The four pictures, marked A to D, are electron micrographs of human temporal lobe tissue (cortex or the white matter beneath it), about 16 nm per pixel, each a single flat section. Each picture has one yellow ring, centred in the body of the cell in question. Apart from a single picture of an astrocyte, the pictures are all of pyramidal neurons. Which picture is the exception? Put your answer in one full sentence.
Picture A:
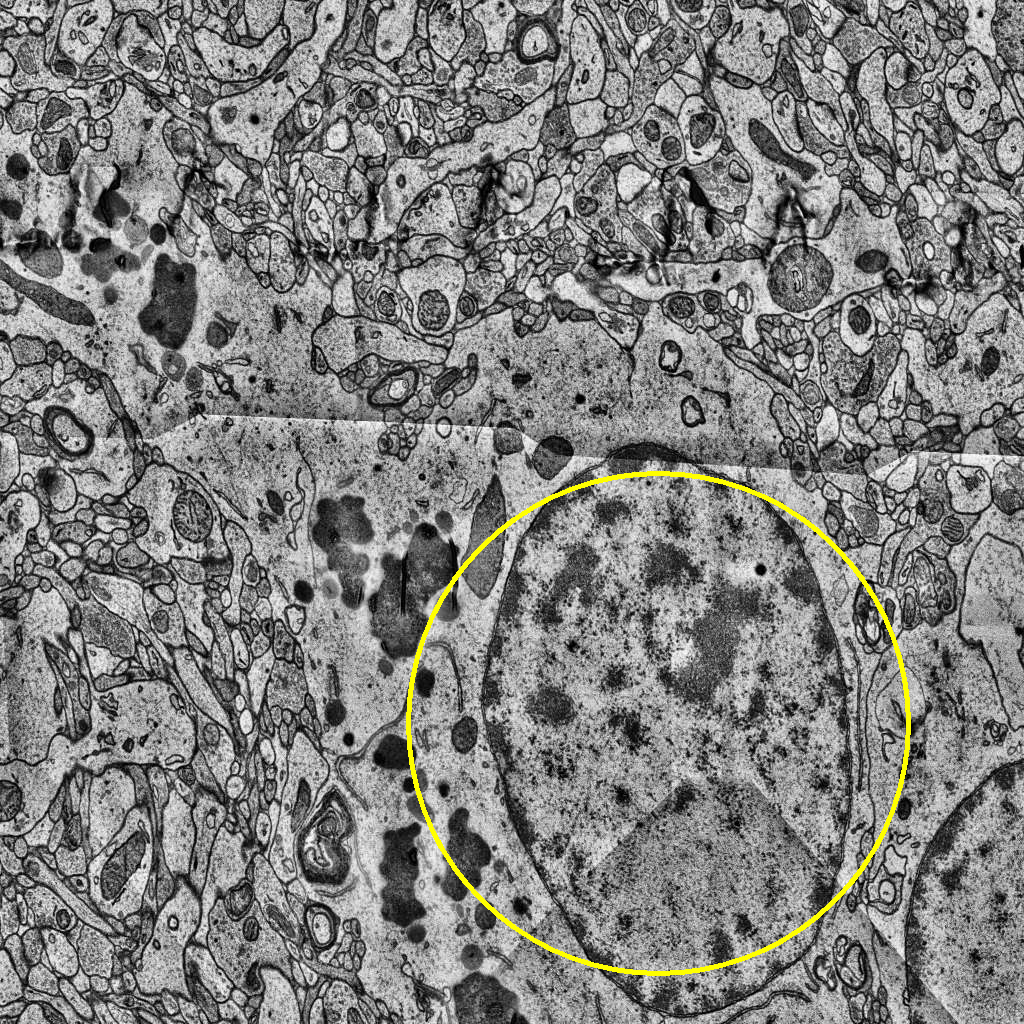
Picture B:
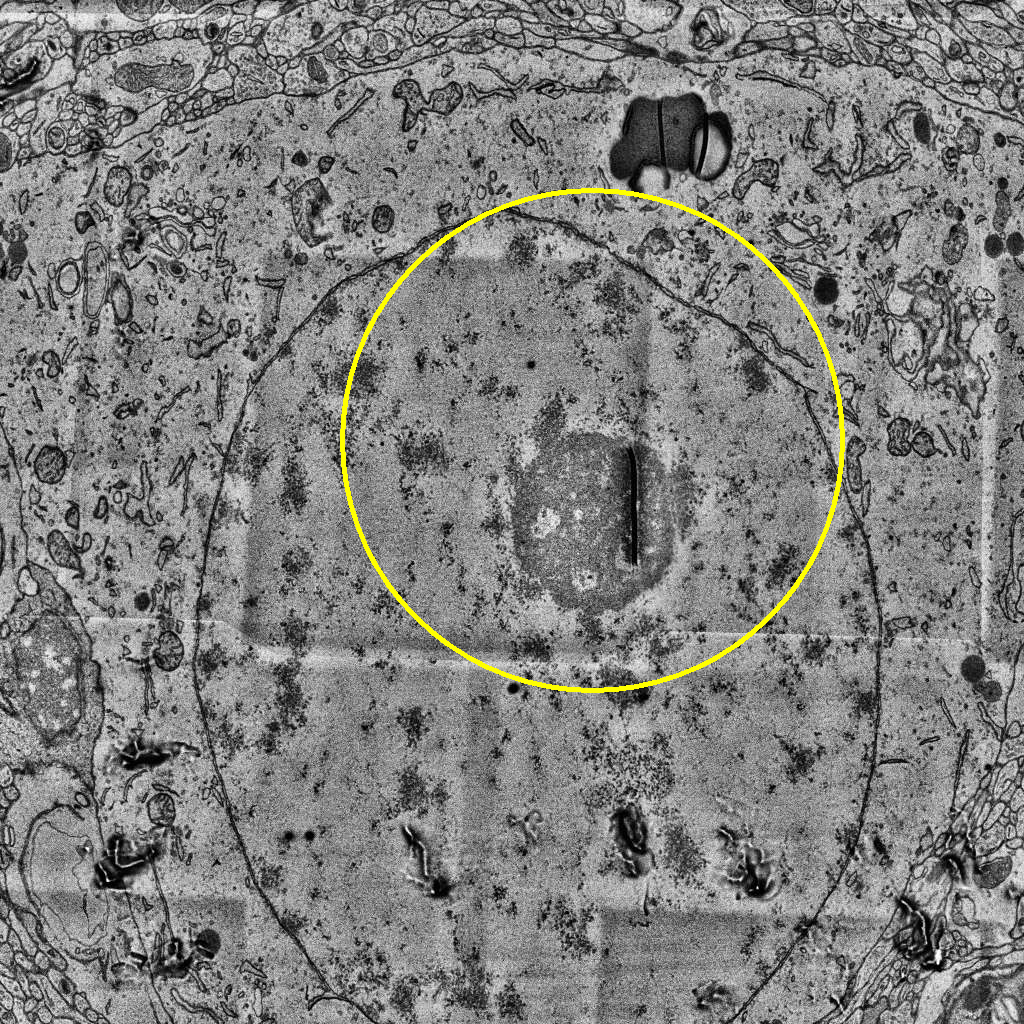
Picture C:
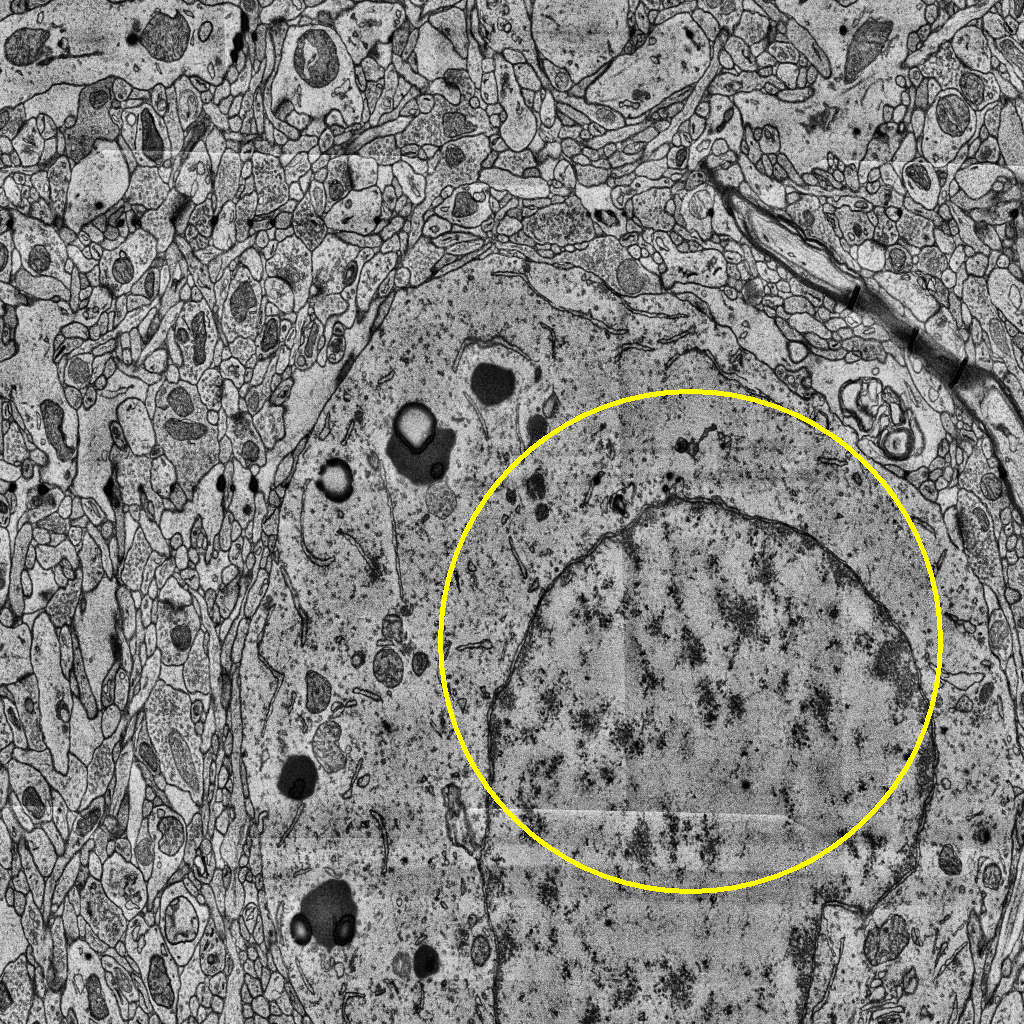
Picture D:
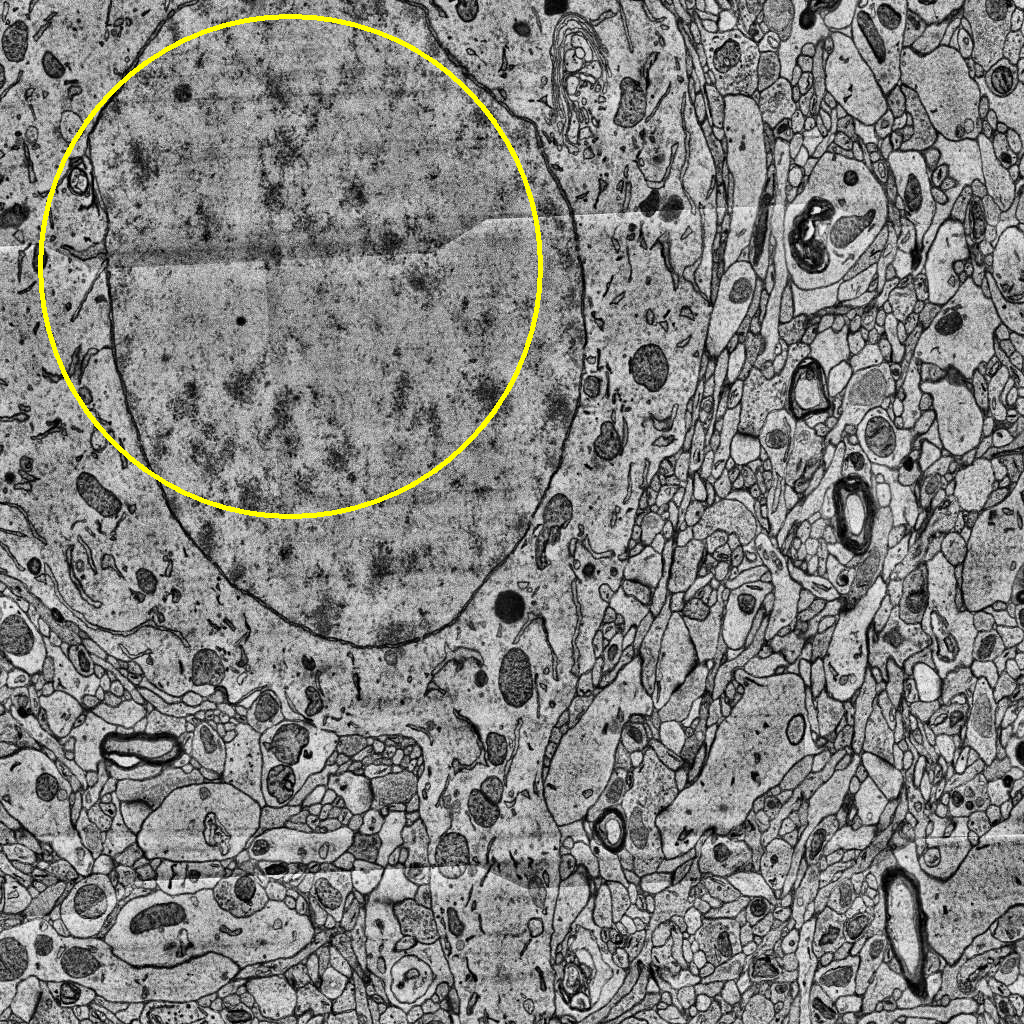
It is picture A that shows the astrocyte.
